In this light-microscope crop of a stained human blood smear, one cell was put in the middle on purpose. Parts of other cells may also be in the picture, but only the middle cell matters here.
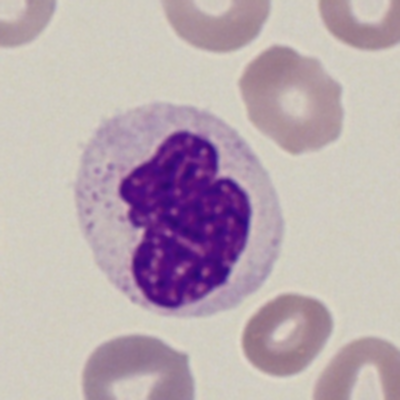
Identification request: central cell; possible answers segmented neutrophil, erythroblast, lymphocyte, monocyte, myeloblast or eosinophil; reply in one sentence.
In the central position of this crop, the cell is a segmented neutrophil.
